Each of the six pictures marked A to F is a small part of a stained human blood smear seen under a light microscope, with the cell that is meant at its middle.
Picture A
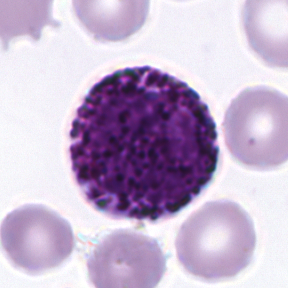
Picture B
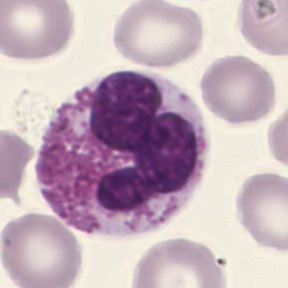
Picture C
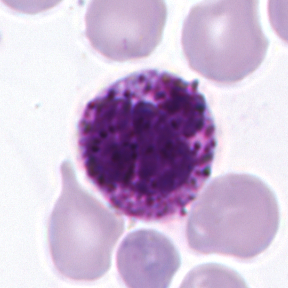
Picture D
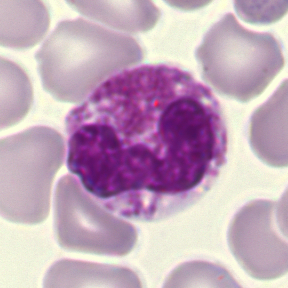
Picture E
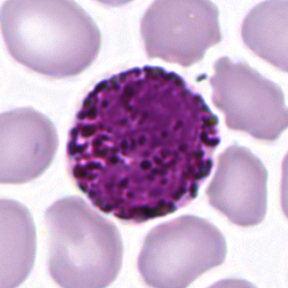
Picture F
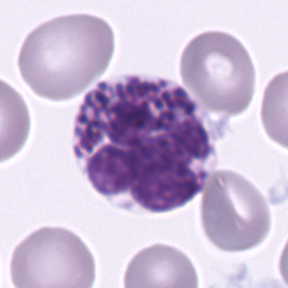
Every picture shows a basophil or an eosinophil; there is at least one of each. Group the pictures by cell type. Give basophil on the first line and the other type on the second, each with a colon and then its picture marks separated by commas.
basophil: A, C, E, F
eosinophil: B, D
